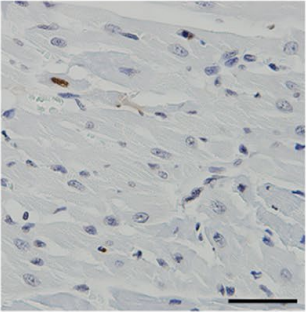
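This is heart muscle cut along its length, with cardiomyocytes running as long, parallel fibres across the field. Each fibre has pale grey-blue cytoplasm, and the nuclei are oval, blue and sit in the middle of the fibres. The fibres lie tightly packed, with only narrow clefts between them where a few slimmer, darker nuclei of interstitial cells sit.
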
